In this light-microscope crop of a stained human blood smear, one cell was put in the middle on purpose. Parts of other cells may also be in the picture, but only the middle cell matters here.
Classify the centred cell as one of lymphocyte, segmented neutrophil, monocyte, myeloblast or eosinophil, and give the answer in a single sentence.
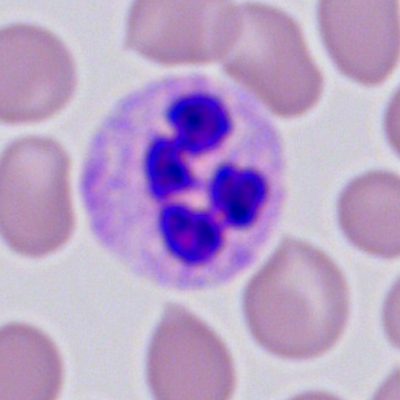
Centrally within this crop lies a segmented neutrophil.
